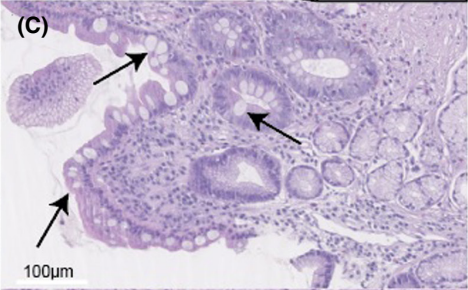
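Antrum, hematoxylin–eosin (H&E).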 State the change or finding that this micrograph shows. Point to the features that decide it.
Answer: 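Crypts lined by columnar epithelium containing many clear goblet-like vacuoles. These crypts lie in gastric mucosa beside smaller glands with pale cytoplasm and no such vacuoles.
Answer: Intestinal metaplasia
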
